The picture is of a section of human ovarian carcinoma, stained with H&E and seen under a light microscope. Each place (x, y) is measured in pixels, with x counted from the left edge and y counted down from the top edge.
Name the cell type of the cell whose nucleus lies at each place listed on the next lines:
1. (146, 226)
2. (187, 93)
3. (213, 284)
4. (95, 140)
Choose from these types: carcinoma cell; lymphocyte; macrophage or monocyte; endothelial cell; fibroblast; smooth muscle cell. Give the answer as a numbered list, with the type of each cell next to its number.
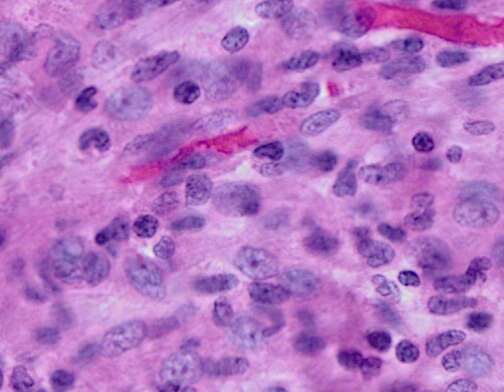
1. lymphocyte
2. lymphocyte
3. macrophage or monocyte
4. lymphocyte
